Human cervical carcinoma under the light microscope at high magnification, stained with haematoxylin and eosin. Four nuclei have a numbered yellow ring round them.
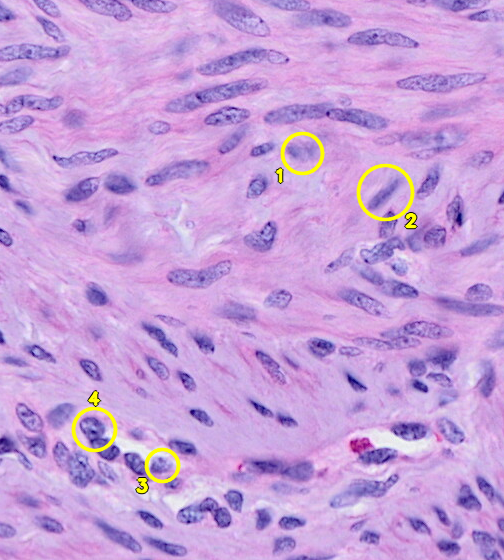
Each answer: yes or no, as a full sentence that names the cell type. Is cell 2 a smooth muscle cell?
No, the marker 2 sits on a fibroblast, not on a smooth muscle cell.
